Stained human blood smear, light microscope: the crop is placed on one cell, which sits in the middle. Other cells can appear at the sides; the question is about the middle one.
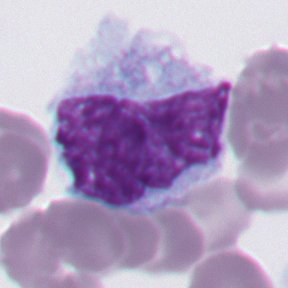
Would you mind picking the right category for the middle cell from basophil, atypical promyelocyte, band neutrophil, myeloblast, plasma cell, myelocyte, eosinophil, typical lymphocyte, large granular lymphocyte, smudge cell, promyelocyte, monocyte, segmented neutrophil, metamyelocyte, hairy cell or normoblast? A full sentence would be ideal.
The cell at the centre of the field is a monocyte.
